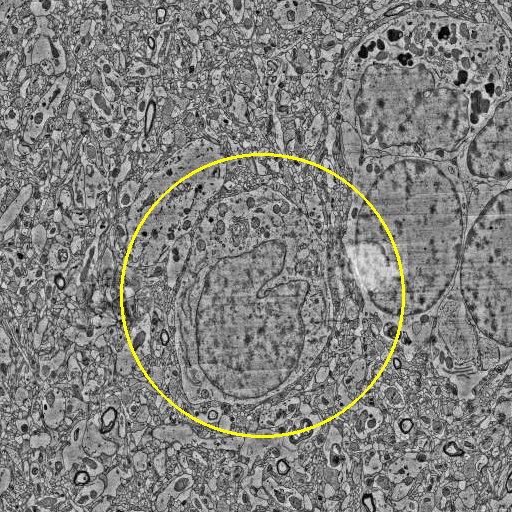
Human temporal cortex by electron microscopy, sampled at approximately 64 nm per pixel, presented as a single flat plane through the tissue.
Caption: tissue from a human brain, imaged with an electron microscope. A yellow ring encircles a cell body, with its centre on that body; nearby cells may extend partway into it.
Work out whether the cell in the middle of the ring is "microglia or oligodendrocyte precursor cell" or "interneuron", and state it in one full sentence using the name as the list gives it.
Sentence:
In the picture, the cell that the yellow ring surrounds at its centre is an interneuron.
